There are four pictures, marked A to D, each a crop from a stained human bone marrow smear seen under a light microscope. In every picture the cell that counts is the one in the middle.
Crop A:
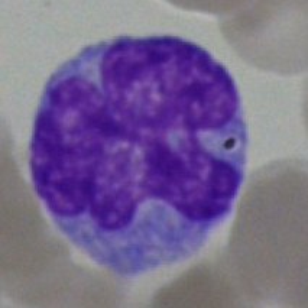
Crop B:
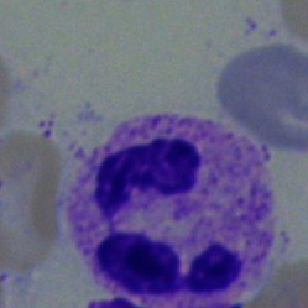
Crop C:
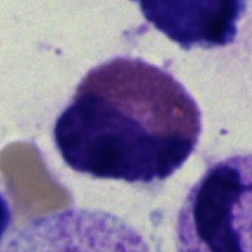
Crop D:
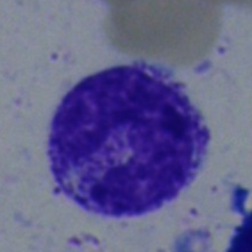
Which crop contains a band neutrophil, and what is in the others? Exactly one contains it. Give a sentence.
At the centre of crop D lies a band neutrophil, while crop A is a monocyte, crop B is a segmented neutrophil and crop C is an eosinophil.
